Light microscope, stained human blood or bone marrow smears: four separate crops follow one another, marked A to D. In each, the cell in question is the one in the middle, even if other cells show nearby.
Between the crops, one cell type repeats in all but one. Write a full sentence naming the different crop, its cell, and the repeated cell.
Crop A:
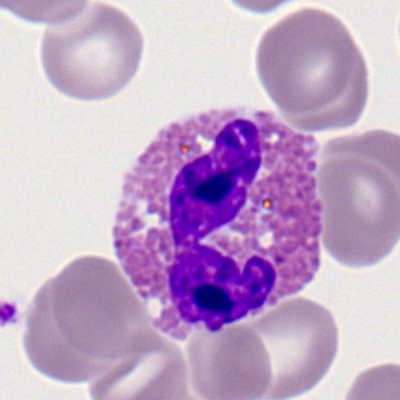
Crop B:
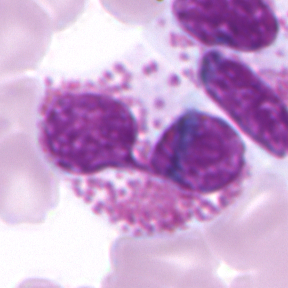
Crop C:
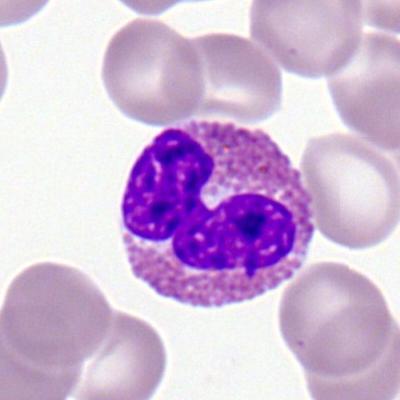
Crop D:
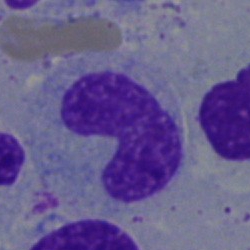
All of the other crops show eosinophils, while crop D shows a band neutrophil instead.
